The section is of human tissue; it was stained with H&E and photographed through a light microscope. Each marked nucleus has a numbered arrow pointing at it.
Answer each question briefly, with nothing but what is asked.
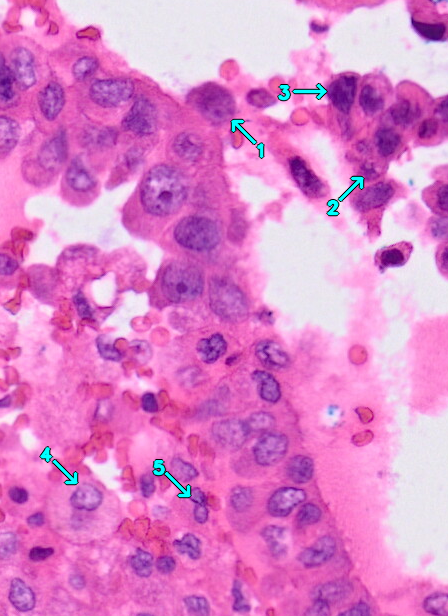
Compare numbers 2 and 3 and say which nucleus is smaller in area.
2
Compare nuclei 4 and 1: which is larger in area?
1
